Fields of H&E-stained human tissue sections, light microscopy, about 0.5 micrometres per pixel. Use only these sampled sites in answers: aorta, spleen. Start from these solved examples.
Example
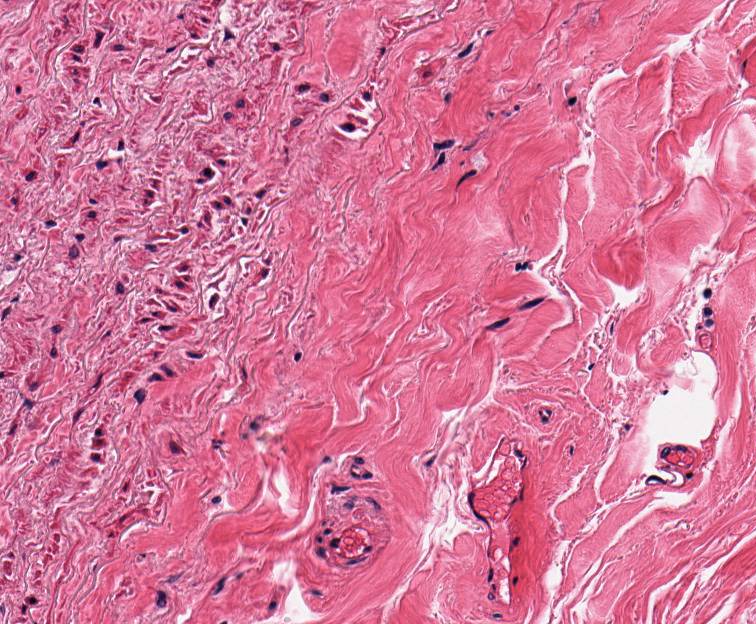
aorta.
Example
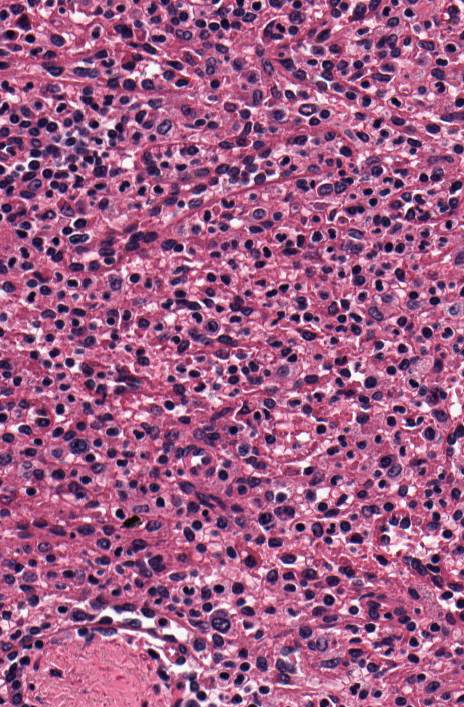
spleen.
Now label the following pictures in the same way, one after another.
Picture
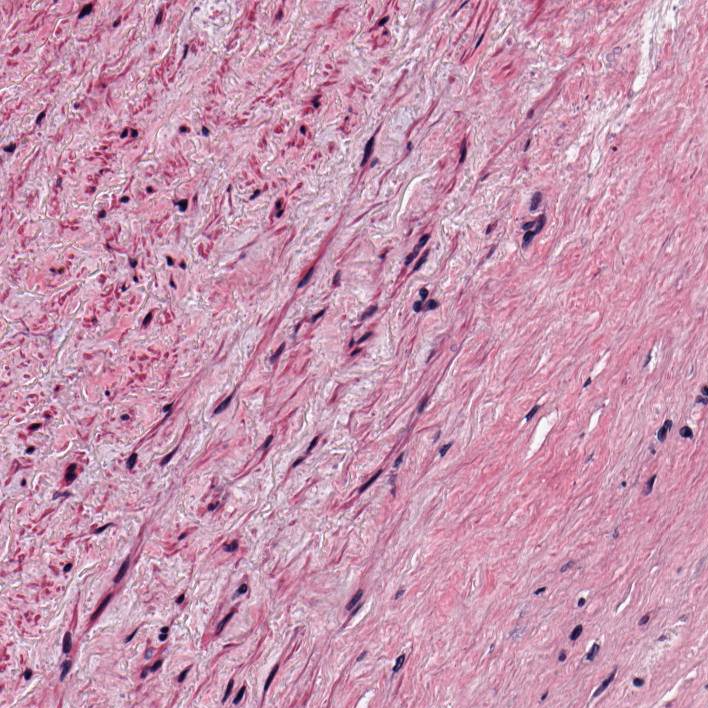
aorta.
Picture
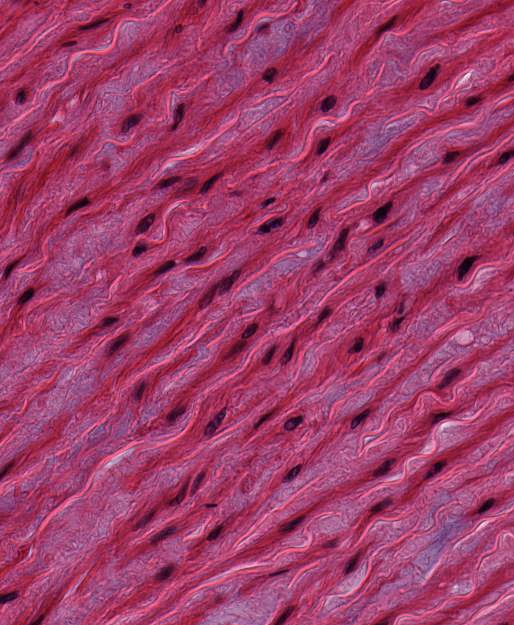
aorta.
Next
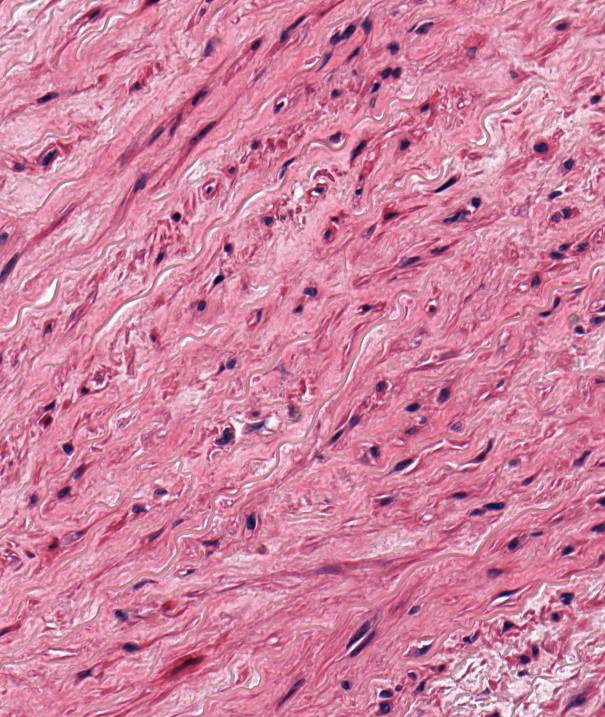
aorta.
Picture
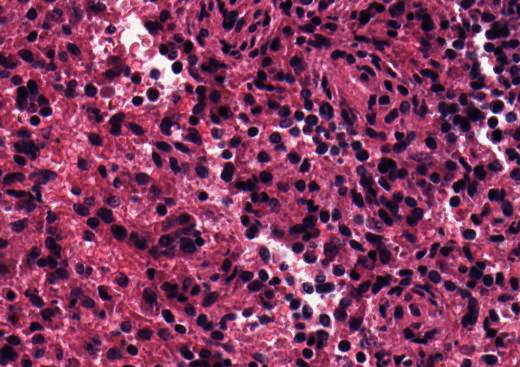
spleen.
